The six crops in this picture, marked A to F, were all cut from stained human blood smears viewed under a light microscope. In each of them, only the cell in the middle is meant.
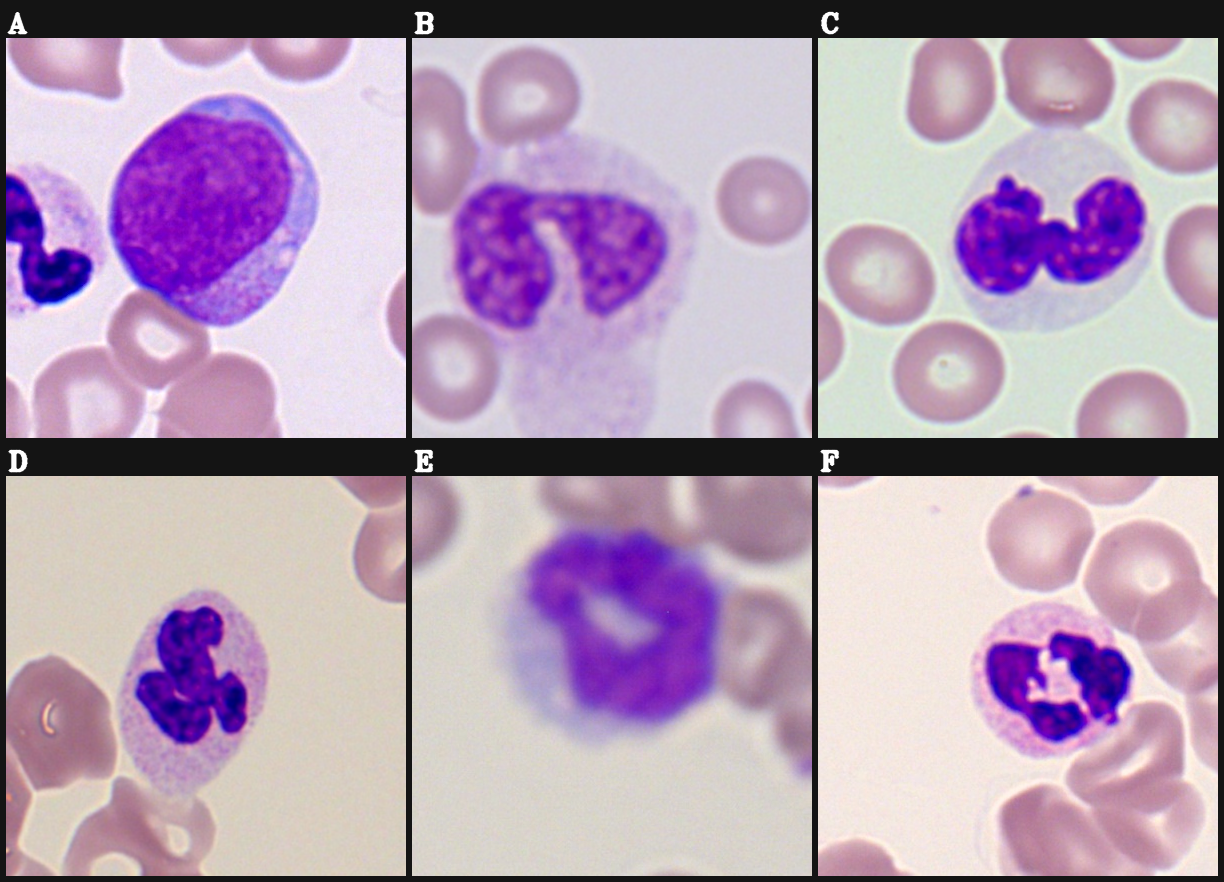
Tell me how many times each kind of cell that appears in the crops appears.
segmented neutrophil: 3
monocyte: 2
myeloblast: 1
